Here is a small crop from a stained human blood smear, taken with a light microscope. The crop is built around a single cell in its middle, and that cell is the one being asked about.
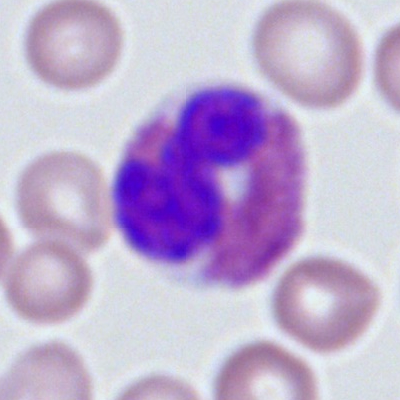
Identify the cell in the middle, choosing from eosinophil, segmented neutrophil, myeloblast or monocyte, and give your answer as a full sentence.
The cell sitting right in the middle is an eosinophil.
